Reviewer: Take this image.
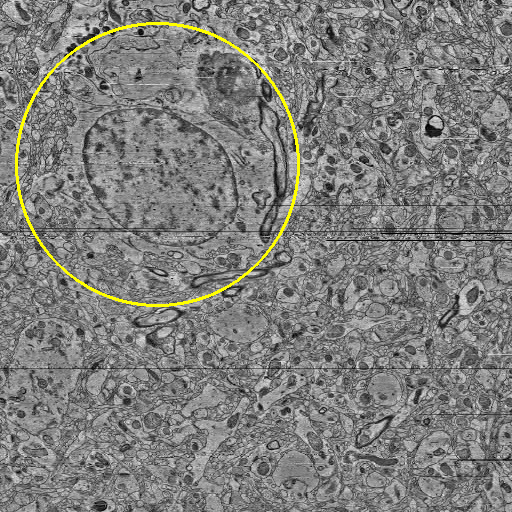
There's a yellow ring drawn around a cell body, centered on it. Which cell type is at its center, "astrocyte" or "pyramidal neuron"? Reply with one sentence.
At the center of the yellow ring is an astrocyte.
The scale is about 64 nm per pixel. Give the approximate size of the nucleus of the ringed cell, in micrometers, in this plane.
In this plane the nucleus spans approximately 11 by 8 micrometers.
